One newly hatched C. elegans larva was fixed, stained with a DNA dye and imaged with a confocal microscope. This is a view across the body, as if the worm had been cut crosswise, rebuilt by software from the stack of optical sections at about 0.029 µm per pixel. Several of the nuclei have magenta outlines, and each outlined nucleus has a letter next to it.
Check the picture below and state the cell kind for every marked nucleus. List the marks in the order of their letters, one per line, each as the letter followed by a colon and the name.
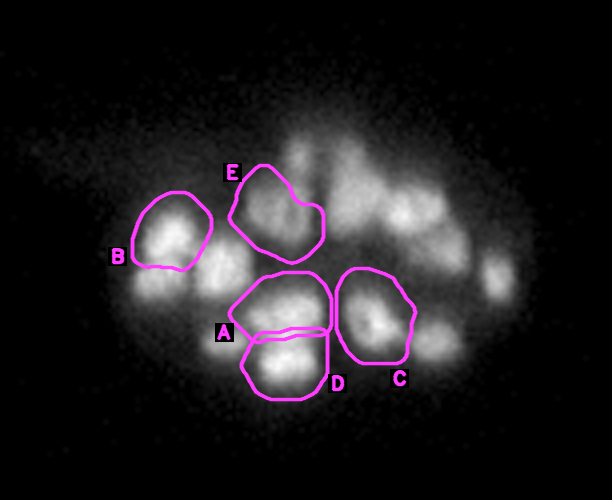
A: pharyngeal muscle cell
B: neuron
C: pharyngeal marginal cell
D: neuron
E: pharyngeal muscle cell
